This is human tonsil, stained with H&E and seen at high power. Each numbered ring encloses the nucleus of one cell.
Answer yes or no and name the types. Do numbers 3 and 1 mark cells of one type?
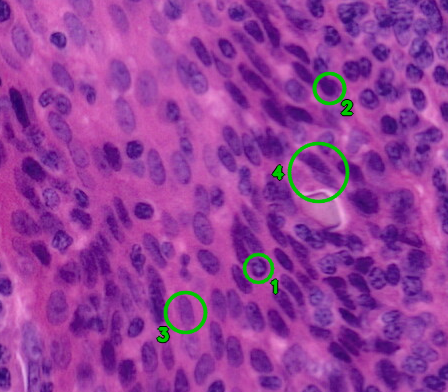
No, cell 3 is a squamous epithelial cell and cell 1 is a plasma cell.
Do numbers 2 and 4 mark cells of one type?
Yes, both are squamous epithelial cells.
